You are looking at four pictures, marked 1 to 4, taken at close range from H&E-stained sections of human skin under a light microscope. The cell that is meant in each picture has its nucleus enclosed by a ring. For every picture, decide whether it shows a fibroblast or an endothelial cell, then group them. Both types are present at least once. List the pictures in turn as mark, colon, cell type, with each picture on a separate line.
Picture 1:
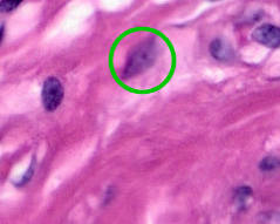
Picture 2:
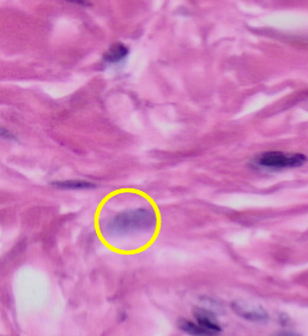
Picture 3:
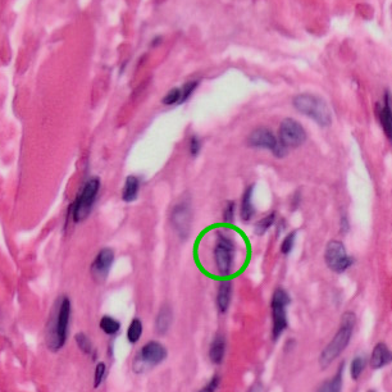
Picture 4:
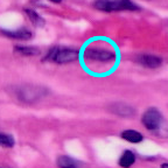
1: fibroblast
2: fibroblast
3: endothelial cell
4: endothelial cell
